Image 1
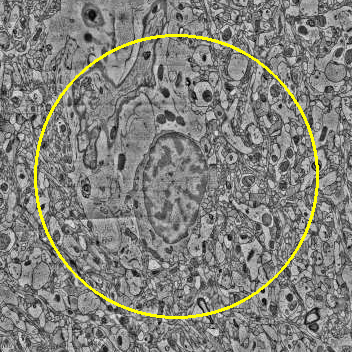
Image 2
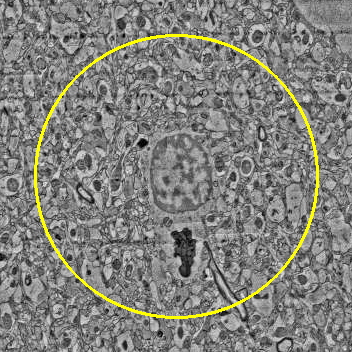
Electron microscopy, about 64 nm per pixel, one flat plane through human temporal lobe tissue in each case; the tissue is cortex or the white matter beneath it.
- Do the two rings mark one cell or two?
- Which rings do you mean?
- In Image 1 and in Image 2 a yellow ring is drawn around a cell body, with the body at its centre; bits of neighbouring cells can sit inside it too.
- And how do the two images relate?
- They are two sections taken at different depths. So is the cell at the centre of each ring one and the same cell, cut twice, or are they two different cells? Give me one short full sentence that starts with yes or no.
No, the two rings enclose two cells that are not the same.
